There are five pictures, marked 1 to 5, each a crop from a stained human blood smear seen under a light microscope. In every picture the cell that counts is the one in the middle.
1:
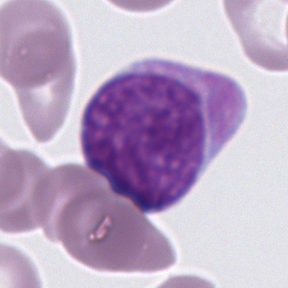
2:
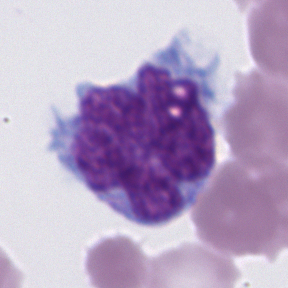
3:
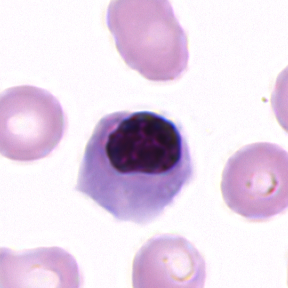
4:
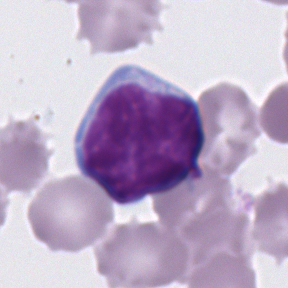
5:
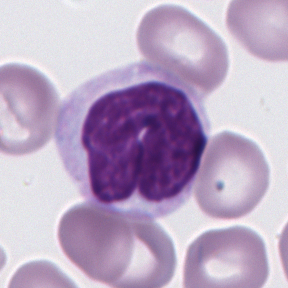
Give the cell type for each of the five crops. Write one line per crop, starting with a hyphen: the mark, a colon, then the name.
- 1: atypical promyelocyte
- 2: monocyte
- 3: normoblast
- 4: typical lymphocyte
- 5: band neutrophil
